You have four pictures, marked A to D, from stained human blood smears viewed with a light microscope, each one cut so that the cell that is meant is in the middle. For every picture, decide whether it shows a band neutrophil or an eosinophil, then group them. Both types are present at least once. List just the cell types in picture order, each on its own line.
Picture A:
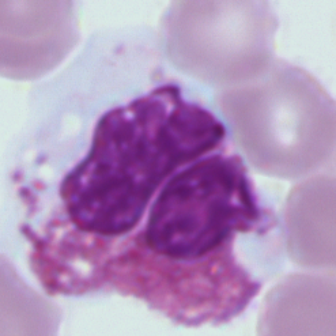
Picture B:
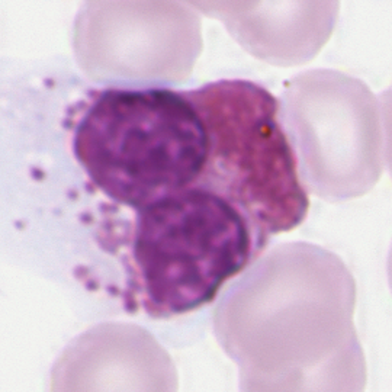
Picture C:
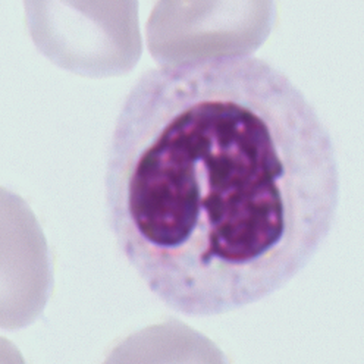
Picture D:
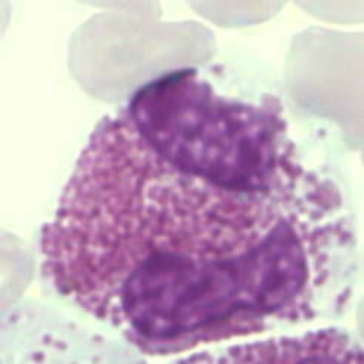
eosinophil
eosinophil
band neutrophil
eosinophil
